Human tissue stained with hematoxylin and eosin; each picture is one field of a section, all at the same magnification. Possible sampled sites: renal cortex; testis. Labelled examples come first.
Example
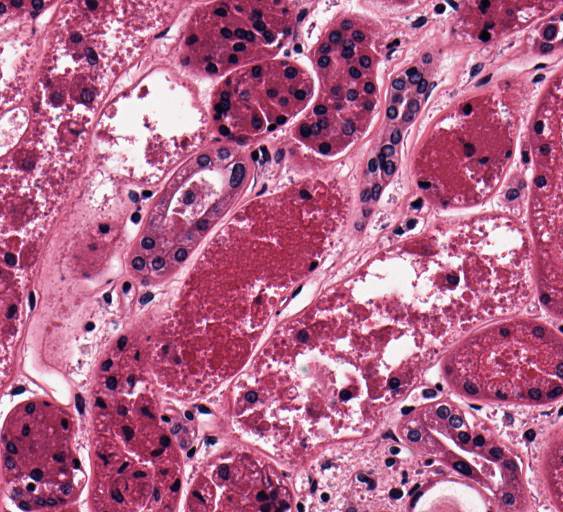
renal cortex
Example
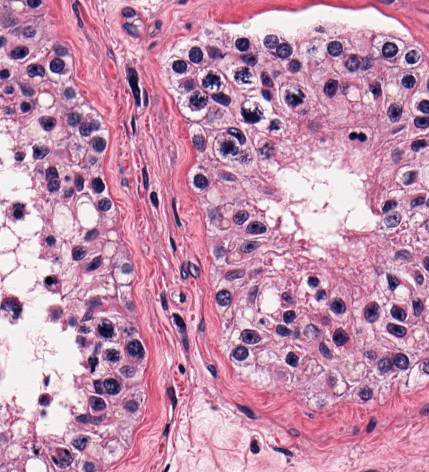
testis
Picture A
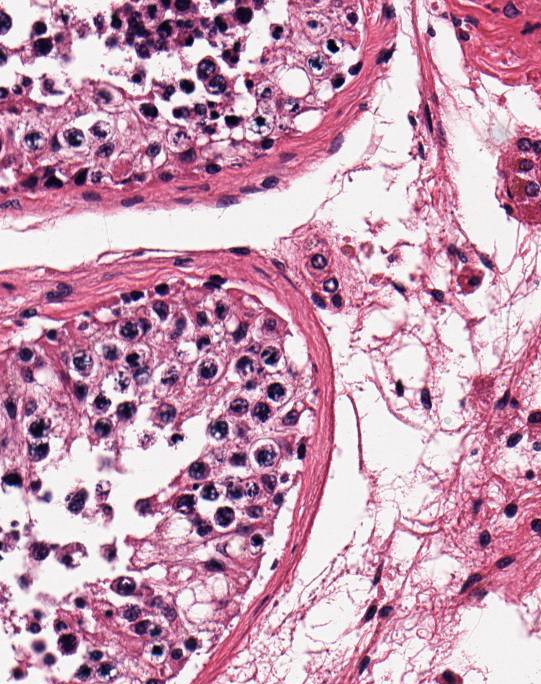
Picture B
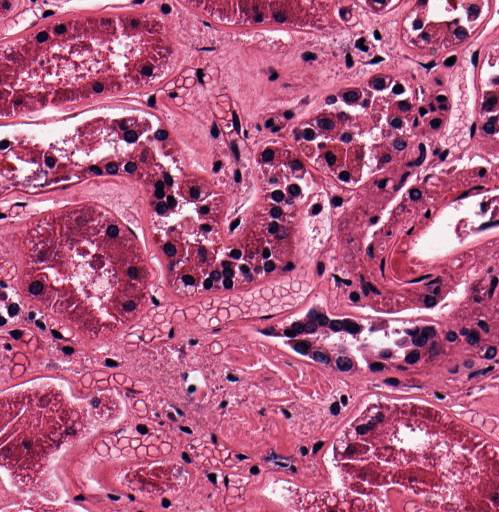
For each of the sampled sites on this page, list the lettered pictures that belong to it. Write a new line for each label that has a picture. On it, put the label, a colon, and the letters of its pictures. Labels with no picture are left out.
renal cortex: B
testis: A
